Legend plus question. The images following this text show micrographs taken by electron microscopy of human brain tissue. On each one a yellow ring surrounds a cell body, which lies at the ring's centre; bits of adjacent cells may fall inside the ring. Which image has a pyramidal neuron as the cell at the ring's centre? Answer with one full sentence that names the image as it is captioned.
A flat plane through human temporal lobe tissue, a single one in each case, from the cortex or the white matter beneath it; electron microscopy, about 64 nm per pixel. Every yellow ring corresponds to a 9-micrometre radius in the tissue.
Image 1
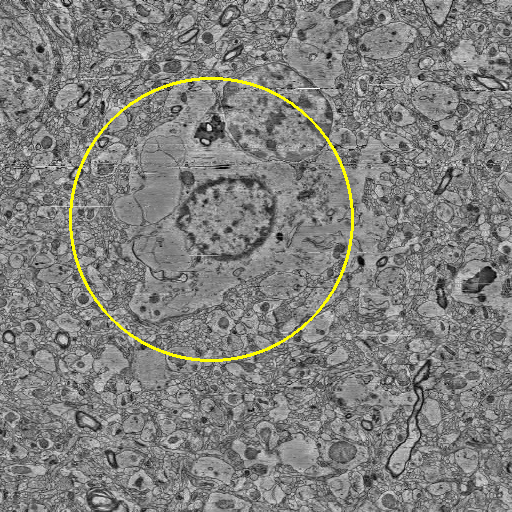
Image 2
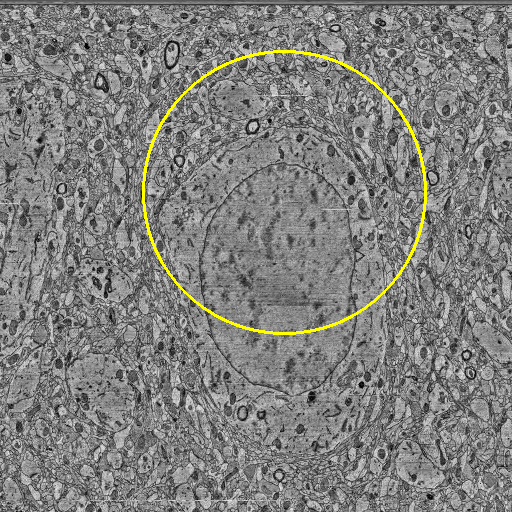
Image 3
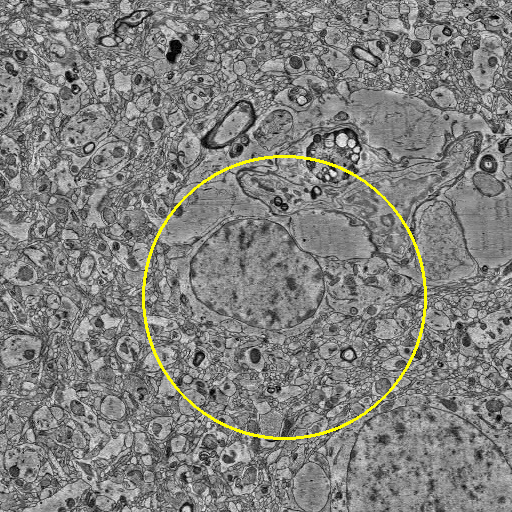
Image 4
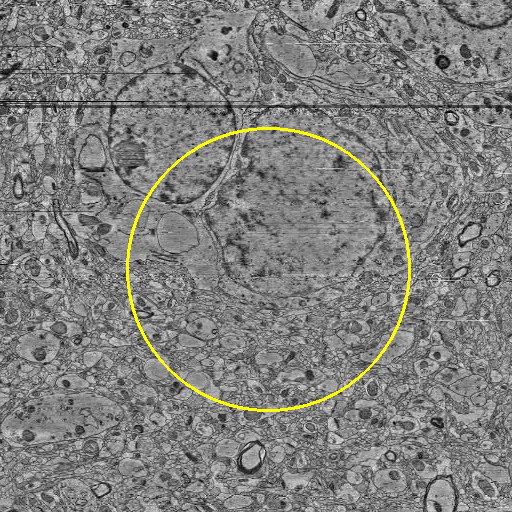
The centred cell that was asked for is the one in Image 2.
